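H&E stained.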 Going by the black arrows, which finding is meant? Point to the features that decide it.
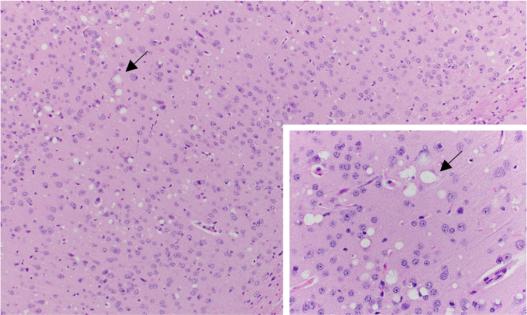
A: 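Many clear, round, empty spaces lie scattered in the pink tissue. The spaces vary in size, some larger than nearby nuclei. The inset shows the clear round spaces at higher magnification among cells. On this evidence: vacuolation.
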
